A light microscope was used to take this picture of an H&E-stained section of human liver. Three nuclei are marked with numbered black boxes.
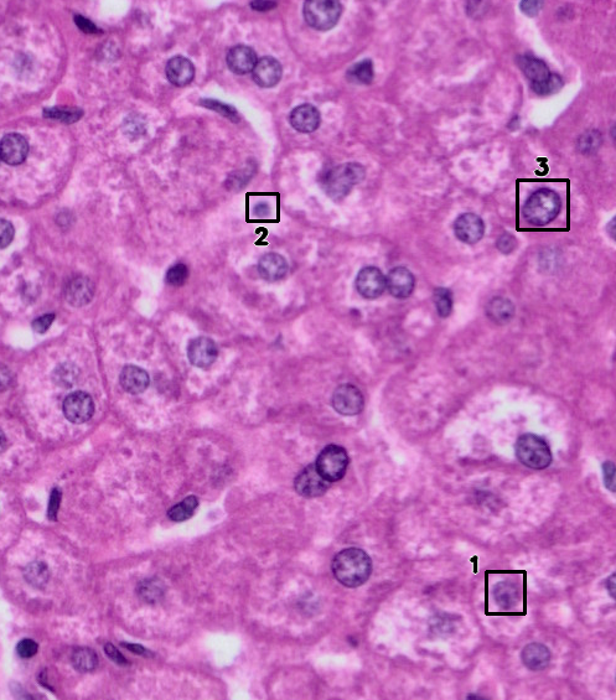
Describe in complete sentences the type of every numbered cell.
Cells 1 and 3 are hepatocytes. Cell 2 is a lymphocyte.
